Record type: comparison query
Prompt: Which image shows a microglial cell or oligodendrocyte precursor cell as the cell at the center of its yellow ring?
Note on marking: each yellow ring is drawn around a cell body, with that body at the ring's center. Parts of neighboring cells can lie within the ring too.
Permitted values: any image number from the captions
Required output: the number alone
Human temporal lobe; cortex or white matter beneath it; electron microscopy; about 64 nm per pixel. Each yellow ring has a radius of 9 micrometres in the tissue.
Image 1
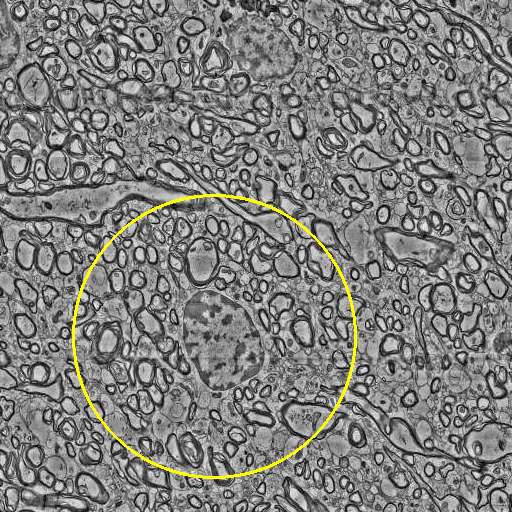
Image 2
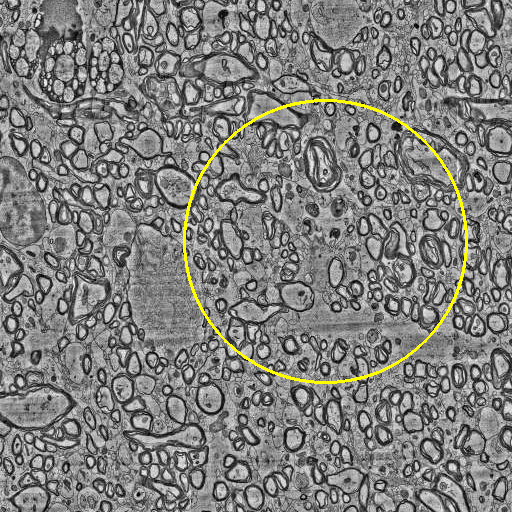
1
